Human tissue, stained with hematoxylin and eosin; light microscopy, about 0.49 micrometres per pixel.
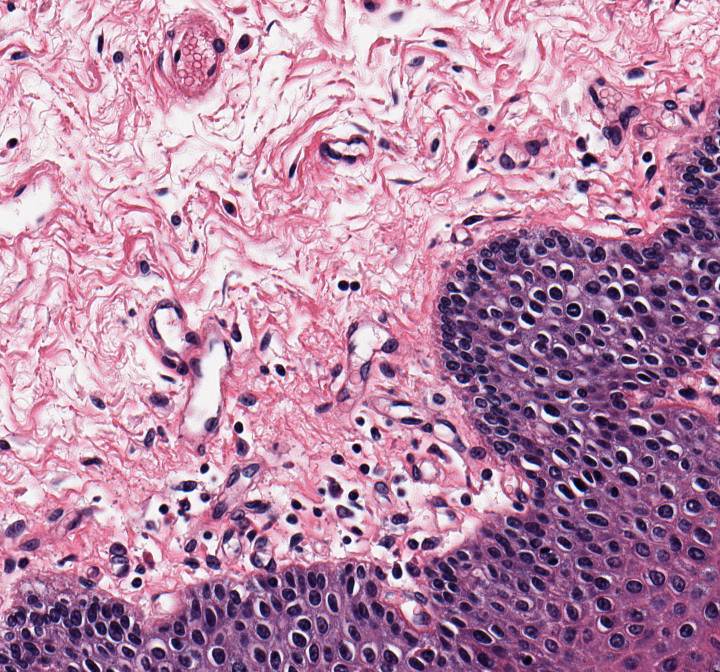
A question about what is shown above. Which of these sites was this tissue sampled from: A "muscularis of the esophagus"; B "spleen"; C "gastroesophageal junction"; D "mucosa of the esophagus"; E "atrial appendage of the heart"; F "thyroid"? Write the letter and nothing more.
D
